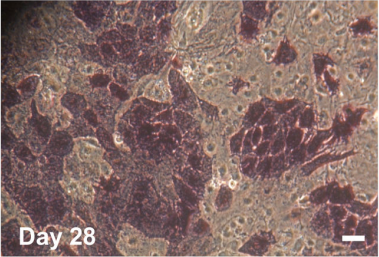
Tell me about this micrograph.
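A dense monolayer of cultured cells is seen, in which sharply bounded patches of flattened polygonal cells are stained dark purple. Between these patches lie unstained, pale cells, whose outlines and rounded nuclei can still be made out. Within the purple patches the cell borders show as slightly lighter lines, so the stained cells keep a cobblestone-like arrangement.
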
